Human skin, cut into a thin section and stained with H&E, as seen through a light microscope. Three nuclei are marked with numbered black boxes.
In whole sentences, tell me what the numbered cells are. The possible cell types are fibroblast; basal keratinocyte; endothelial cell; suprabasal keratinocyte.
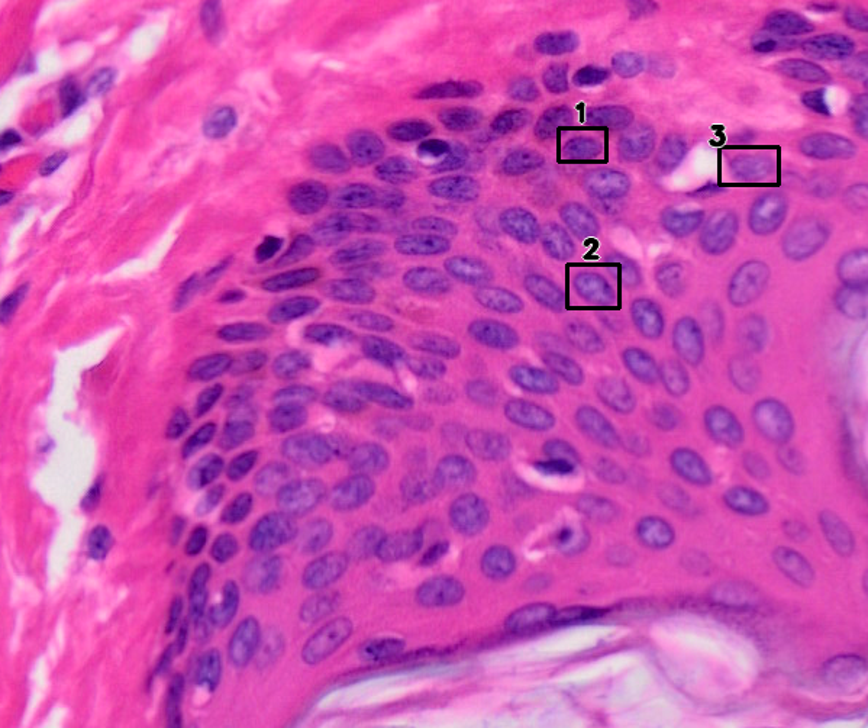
Cells 1 and 3 are basal keratinocytes. Cell 2 is a suprabasal keratinocyte.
